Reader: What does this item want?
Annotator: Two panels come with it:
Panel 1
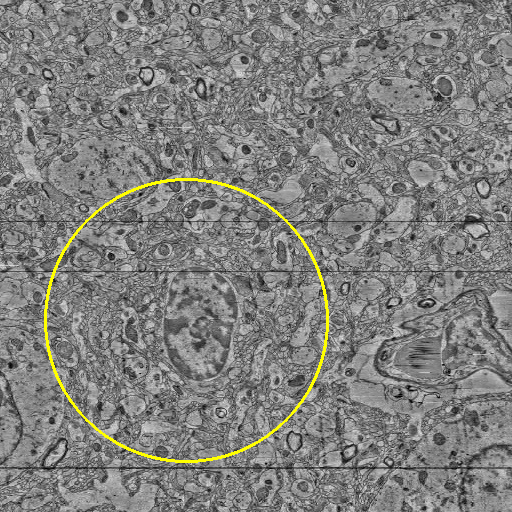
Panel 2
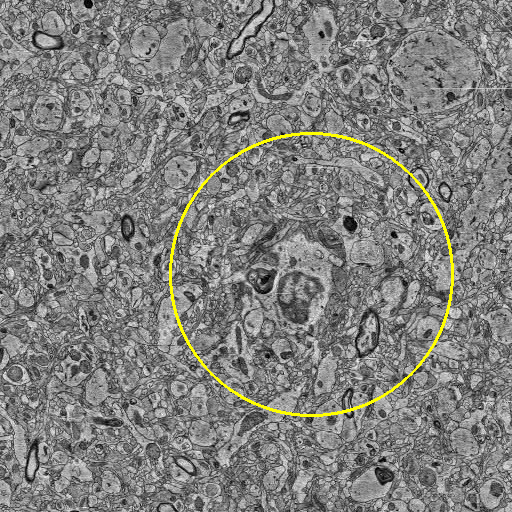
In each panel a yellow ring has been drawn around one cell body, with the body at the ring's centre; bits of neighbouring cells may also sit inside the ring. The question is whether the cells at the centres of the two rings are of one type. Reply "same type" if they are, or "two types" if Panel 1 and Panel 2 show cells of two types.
same type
